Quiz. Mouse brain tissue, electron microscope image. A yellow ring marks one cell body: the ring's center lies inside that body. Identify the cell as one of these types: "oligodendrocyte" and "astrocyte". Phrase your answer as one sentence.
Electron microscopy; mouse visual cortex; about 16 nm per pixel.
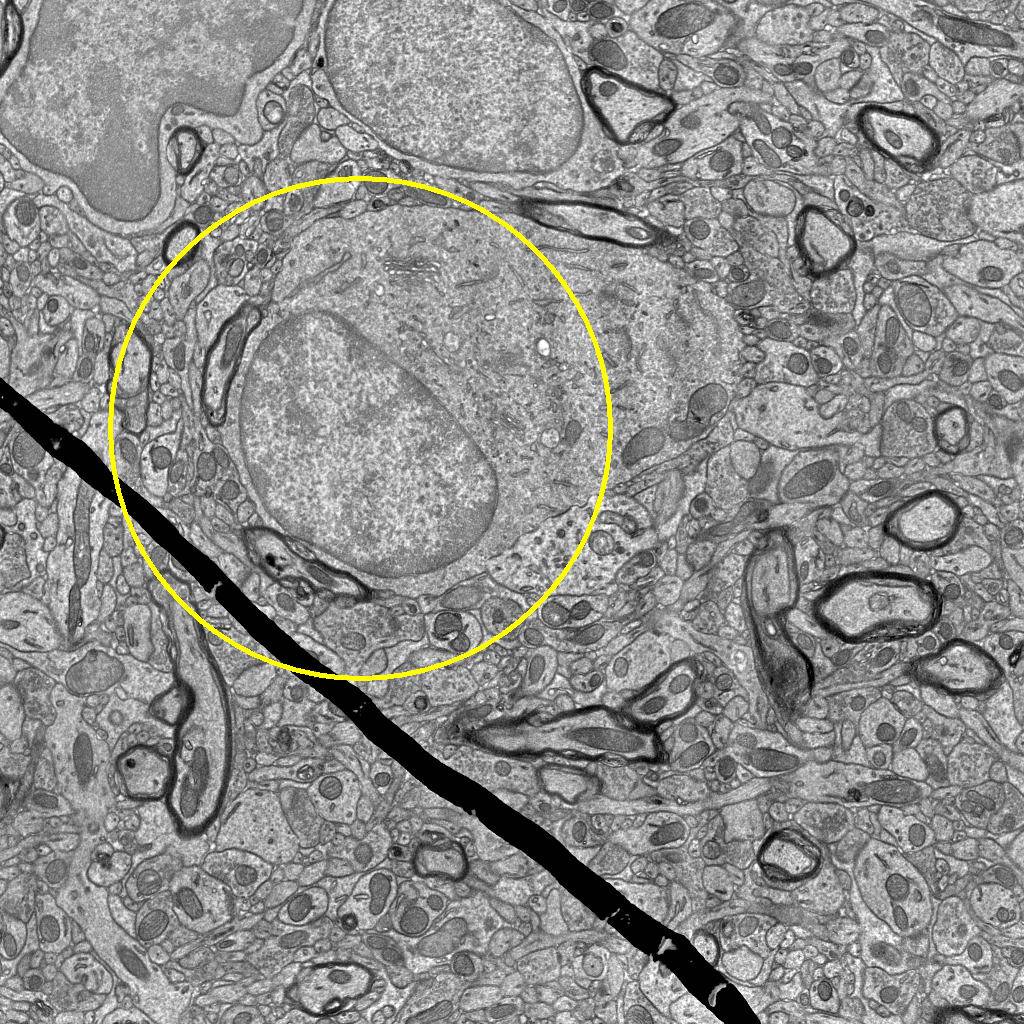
At the center of the ring sits an oligodendrocyte.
